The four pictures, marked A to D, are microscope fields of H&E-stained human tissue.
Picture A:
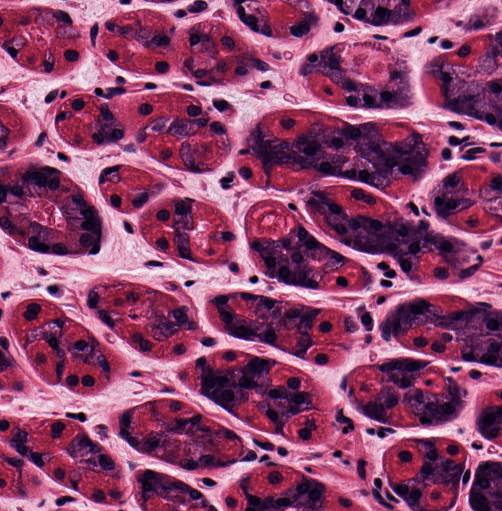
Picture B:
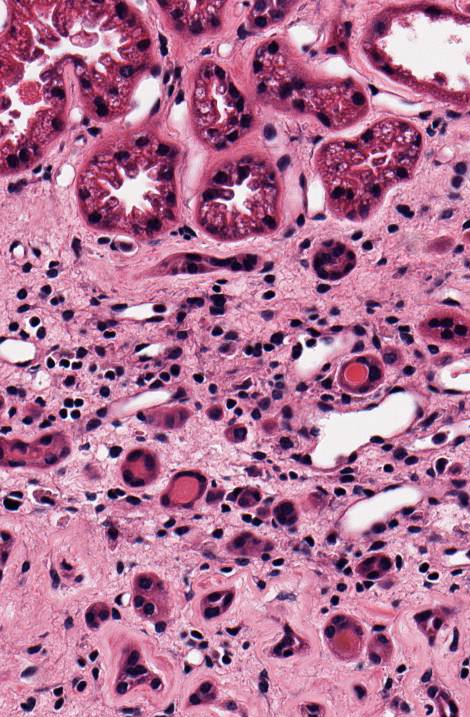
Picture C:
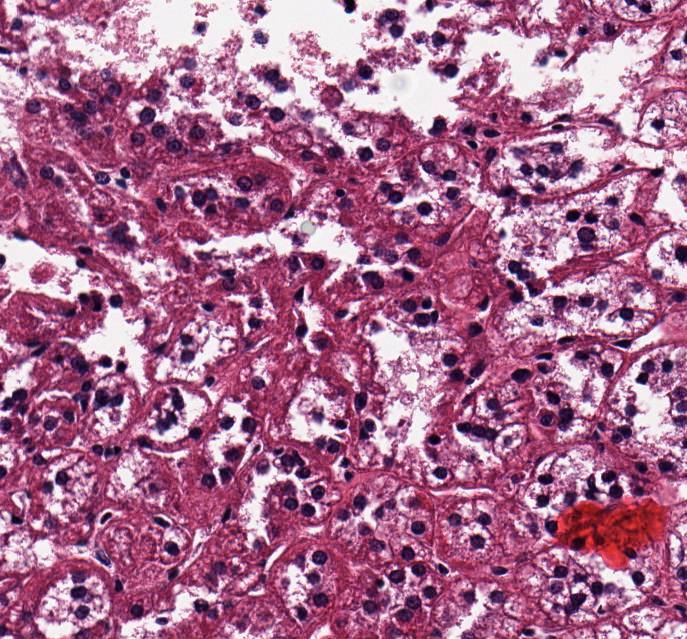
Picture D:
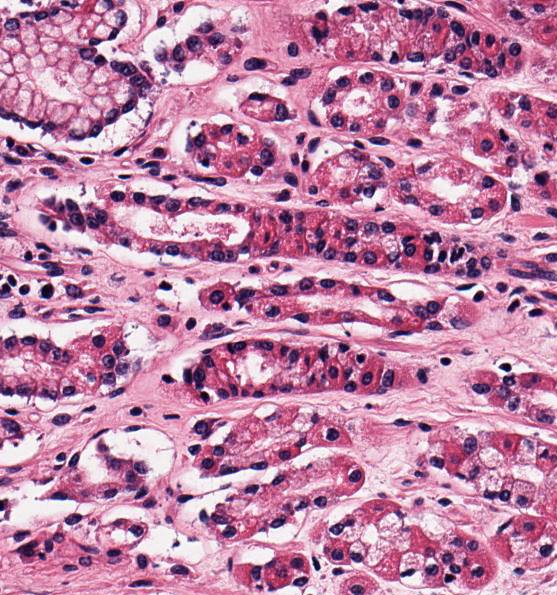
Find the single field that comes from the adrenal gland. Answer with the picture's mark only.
C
